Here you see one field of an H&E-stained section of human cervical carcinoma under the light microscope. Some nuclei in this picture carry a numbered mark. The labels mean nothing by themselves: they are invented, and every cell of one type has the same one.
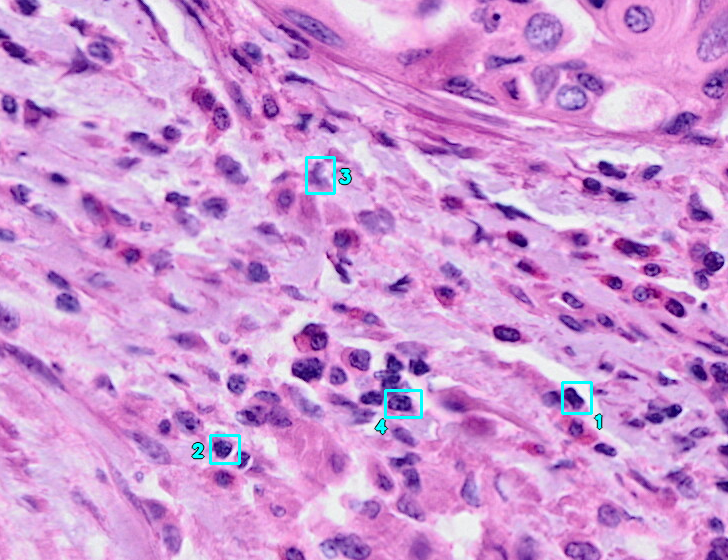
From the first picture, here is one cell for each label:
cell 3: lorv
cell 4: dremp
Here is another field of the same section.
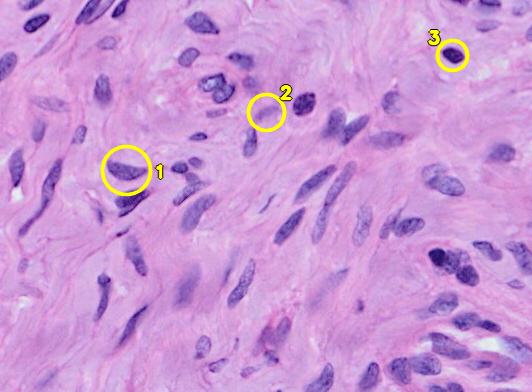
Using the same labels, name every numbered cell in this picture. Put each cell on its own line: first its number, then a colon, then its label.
1: lorv
2: lorv
3: dremp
